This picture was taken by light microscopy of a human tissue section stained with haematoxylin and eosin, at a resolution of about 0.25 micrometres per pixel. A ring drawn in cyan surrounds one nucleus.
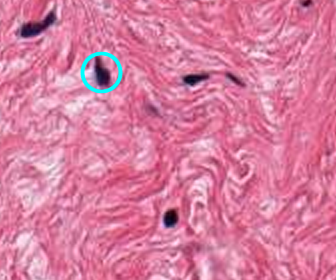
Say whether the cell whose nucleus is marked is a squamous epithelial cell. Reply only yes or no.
no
